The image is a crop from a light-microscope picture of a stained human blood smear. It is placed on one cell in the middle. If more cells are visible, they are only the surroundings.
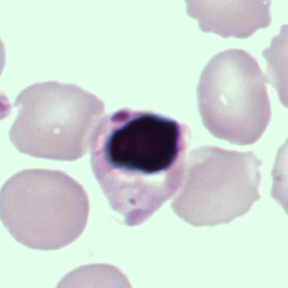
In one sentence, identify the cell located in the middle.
The cell featured at the centre of this crop is an erythroblast.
